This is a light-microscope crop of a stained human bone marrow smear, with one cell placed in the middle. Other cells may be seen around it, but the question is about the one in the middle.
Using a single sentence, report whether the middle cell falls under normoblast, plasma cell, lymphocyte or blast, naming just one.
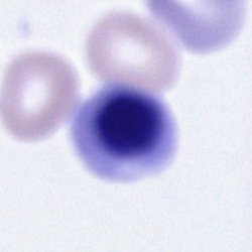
Within this crop, a normoblast occupies the central position.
